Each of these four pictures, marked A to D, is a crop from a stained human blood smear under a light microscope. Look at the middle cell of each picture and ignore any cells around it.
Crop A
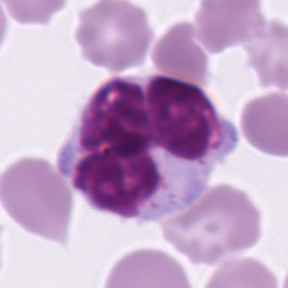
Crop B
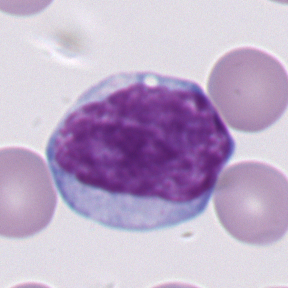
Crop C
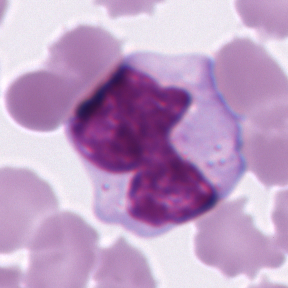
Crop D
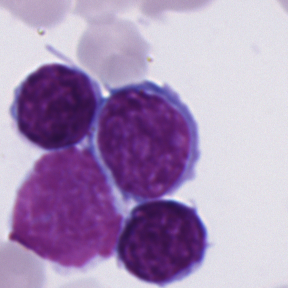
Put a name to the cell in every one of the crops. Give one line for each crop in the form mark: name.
A: large granular lymphocyte
B: myeloblast
C: large granular lymphocyte
D: myeloblast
